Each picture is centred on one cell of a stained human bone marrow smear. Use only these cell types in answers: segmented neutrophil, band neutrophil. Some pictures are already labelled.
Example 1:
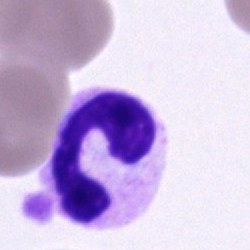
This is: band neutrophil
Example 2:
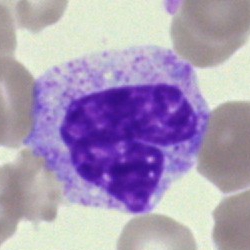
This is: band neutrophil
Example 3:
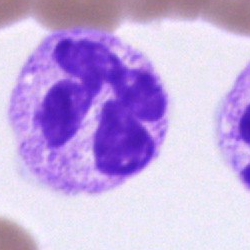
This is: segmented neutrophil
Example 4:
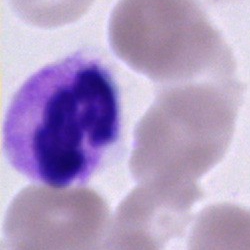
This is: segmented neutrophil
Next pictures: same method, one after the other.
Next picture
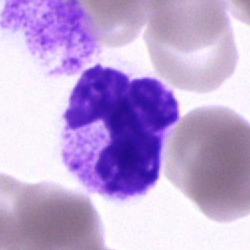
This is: segmented neutrophil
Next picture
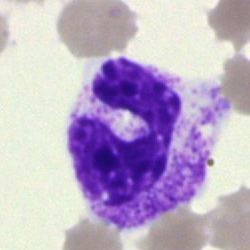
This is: segmented neutrophil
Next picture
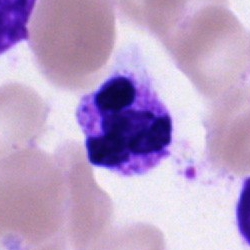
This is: segmented neutrophil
